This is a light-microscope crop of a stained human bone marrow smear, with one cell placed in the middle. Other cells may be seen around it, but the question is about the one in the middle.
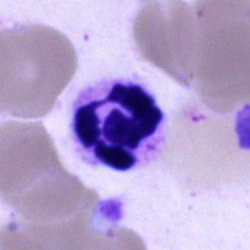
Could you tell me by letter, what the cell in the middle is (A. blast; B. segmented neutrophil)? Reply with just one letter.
B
